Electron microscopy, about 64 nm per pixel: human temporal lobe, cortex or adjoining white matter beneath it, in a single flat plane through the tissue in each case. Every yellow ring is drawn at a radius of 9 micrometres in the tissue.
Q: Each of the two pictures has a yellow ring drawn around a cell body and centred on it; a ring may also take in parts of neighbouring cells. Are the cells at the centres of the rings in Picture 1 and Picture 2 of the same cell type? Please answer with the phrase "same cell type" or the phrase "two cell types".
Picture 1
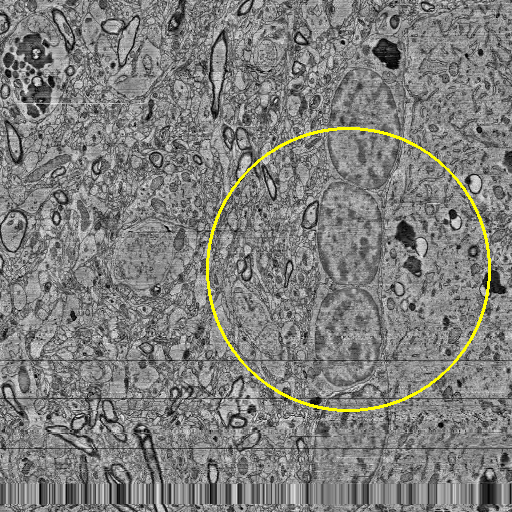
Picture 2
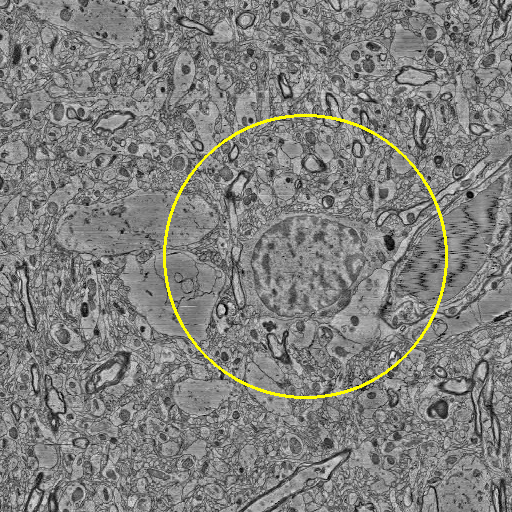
same cell type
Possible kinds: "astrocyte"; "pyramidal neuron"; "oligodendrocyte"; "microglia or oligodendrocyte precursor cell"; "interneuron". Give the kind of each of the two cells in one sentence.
Each of the two pictures has an oligodendrocyte at the ring centre.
